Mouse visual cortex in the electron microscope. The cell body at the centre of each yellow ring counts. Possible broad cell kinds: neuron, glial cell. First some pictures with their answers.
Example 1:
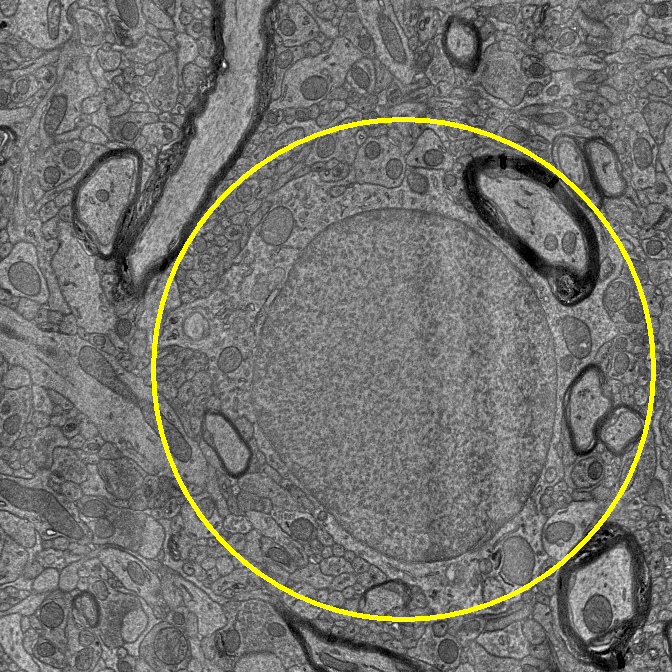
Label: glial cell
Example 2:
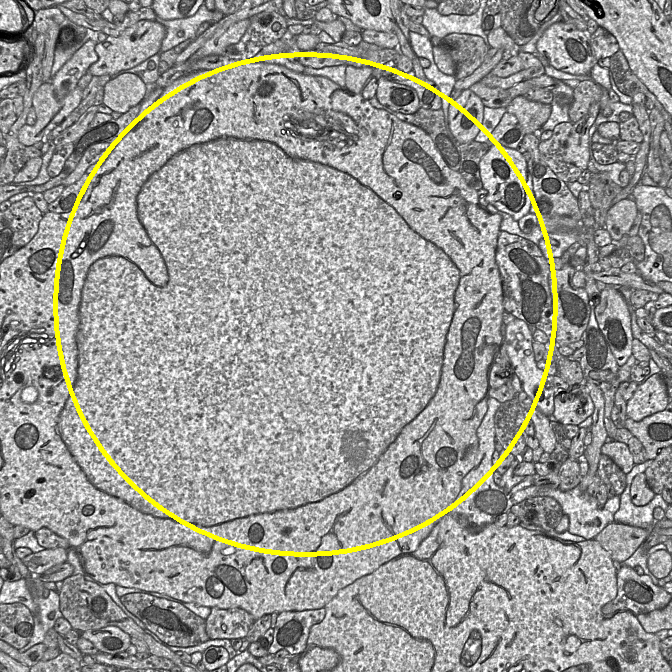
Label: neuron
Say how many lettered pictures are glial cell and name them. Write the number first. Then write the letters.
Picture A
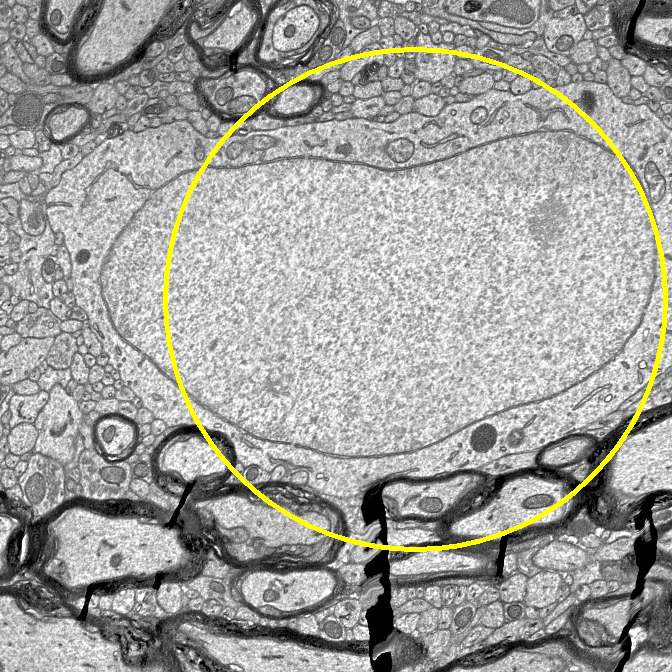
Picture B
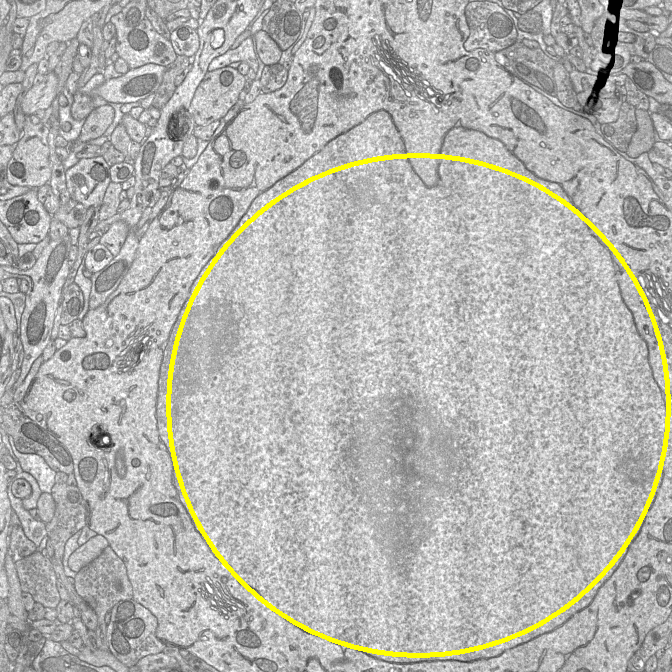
0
